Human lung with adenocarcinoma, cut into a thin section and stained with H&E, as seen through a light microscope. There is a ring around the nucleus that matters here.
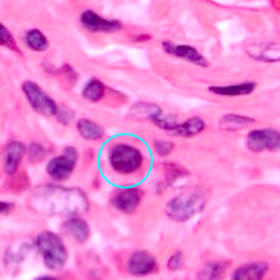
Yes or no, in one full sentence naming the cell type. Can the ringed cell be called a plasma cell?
Yes, to put it simply, the ringed cell is a plasma cell.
